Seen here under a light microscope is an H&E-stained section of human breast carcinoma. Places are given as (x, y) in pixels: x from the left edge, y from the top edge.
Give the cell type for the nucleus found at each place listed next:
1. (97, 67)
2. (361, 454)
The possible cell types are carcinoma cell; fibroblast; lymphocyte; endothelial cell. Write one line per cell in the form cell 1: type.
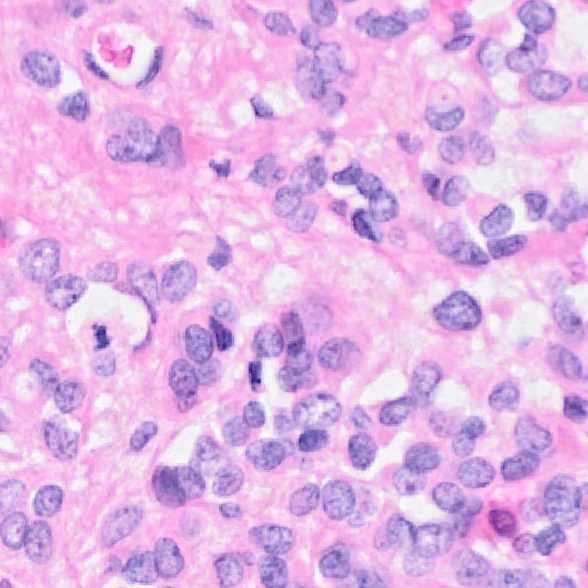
cell 1: endothelial cell
cell 2: carcinoma cell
